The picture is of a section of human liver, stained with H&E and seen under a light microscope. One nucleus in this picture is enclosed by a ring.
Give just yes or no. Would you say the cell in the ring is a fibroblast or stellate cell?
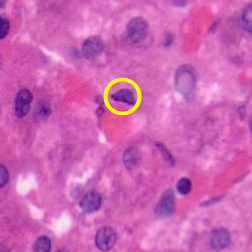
yes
